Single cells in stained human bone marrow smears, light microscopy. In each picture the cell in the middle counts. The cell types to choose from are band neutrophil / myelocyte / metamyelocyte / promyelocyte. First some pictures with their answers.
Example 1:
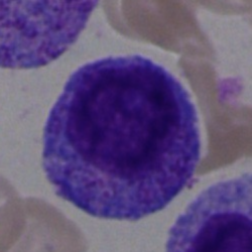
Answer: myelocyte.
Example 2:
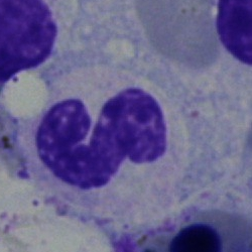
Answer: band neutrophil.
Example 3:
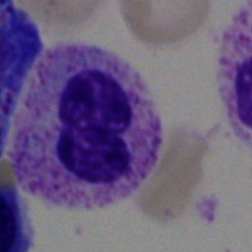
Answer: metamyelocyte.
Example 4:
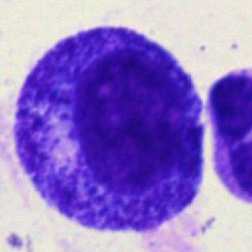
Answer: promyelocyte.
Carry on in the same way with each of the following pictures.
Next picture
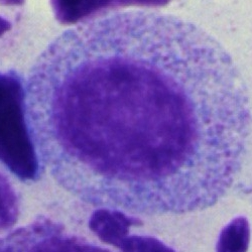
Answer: promyelocyte.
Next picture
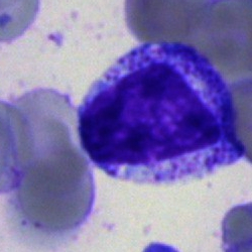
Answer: myelocyte.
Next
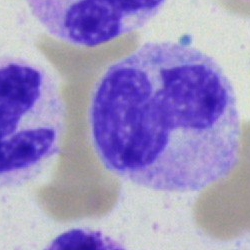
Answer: band neutrophil.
